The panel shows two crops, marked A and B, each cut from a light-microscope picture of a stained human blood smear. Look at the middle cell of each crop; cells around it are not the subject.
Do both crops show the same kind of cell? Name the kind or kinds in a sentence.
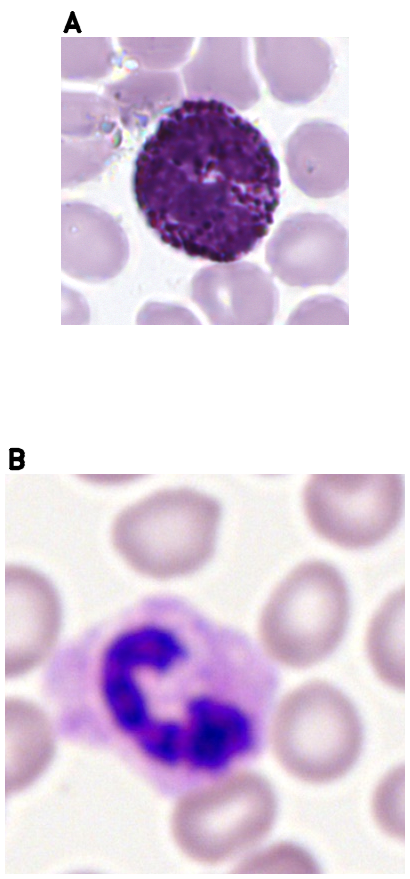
No: a basophil sits in crop A, and a segmented neutrophil sits in crop B.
